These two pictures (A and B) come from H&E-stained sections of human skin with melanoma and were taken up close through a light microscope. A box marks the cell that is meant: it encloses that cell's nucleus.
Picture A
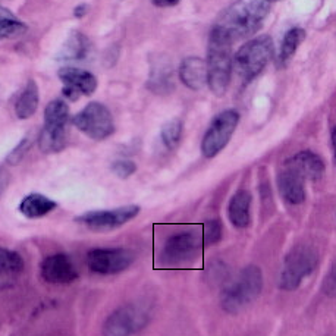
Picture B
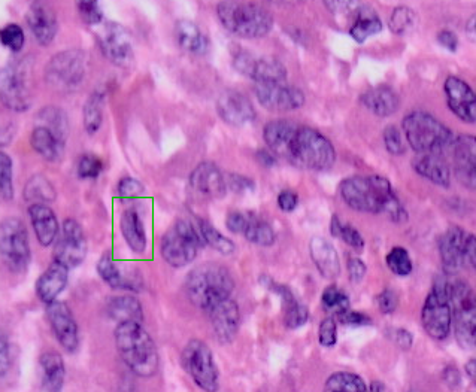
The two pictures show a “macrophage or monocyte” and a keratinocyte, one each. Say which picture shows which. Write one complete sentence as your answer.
In picture A the cell is a keratinocyte; in picture B, a “macrophage or monocyte”.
